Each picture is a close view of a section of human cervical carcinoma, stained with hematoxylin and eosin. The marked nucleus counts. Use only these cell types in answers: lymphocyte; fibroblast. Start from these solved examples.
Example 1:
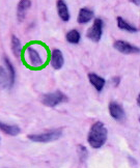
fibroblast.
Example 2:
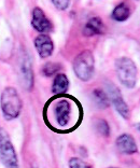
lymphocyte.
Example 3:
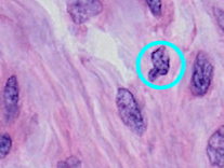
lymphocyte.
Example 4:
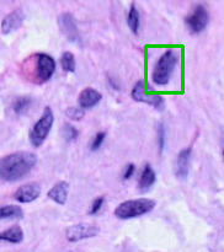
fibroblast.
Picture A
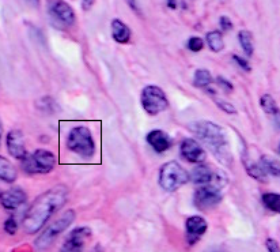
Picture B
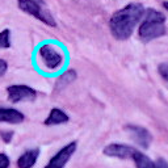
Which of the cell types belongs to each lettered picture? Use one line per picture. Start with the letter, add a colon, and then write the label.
A: lymphocyte.
B: fibroblast.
